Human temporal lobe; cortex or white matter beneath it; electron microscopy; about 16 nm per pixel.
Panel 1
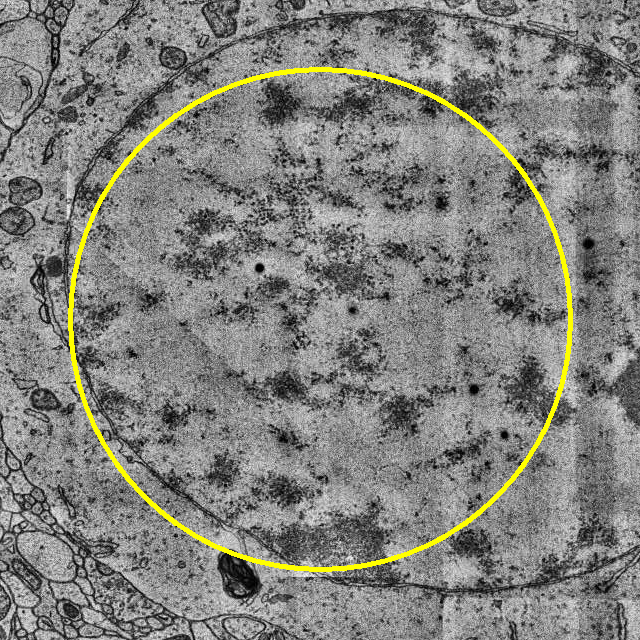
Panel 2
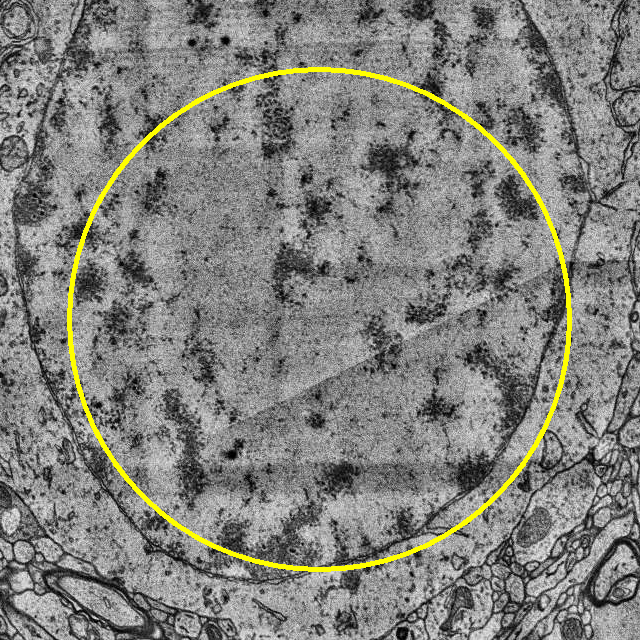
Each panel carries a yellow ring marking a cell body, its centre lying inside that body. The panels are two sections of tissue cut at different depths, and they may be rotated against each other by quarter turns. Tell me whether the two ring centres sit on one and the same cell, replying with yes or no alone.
yes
